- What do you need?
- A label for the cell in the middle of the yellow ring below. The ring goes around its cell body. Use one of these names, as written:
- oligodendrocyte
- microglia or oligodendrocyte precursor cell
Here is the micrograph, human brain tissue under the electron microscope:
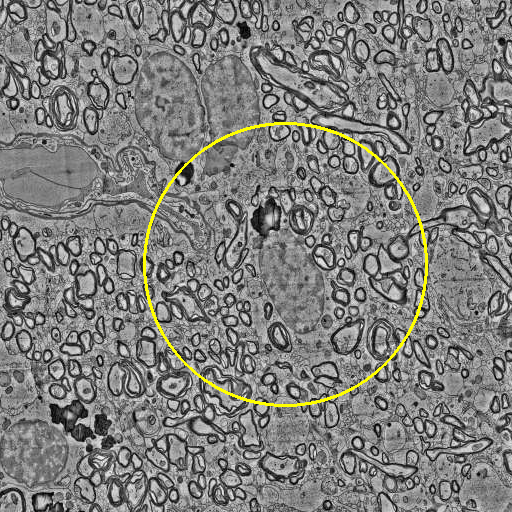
oligodendrocyte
